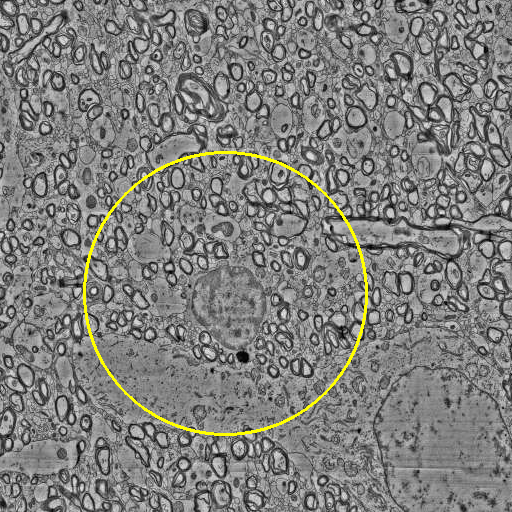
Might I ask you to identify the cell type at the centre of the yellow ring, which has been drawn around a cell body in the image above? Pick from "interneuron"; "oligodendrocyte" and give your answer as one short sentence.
The centre of the ring falls on an oligodendrocyte.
